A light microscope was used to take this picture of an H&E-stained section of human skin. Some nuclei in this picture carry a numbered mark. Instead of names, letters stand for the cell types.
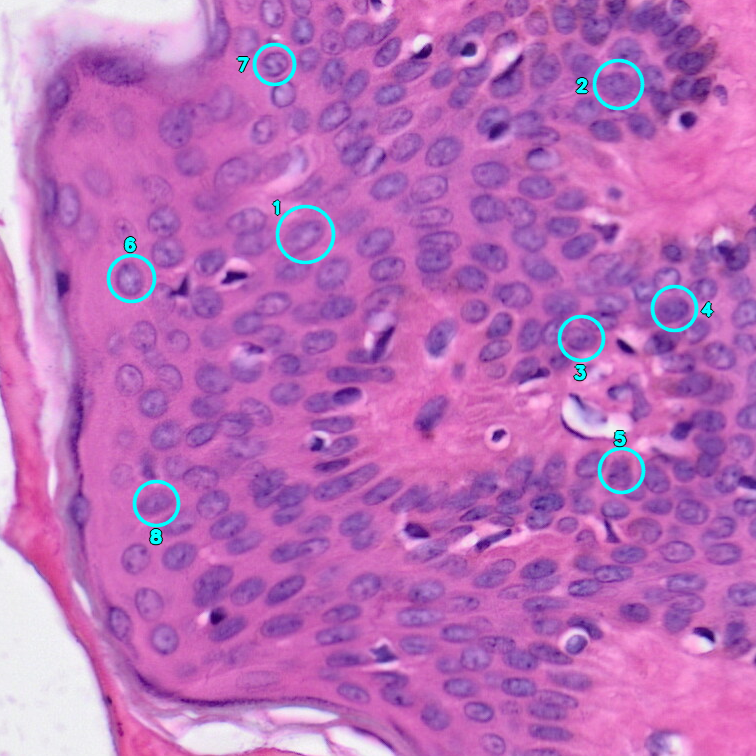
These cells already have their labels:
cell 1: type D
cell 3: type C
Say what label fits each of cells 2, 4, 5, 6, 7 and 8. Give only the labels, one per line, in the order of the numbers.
type D
type C
type C
type D
type D
type D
